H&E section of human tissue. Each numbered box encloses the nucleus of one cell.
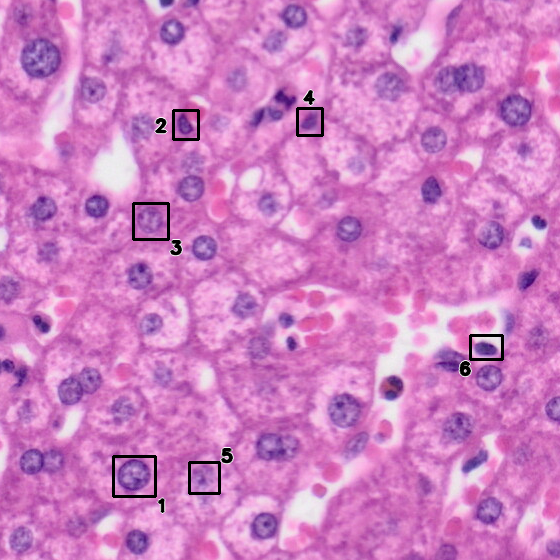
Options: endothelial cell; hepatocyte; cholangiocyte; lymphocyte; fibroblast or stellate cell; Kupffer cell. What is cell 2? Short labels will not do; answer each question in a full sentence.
Here, the cell given the number 2 is a fibroblast or stellate cell.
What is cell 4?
Corresponding to a fibroblast or stellate cell is the cell labelled 4.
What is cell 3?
Recognised here as a hepatocyte is the cell numbered 3.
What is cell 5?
The nucleus with number 5 is that of a hepatocyte.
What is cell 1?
The cell whose nucleus carries the number 1 is a hepatocyte.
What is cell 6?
The cell that goes by number 6 is a lymphocyte.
